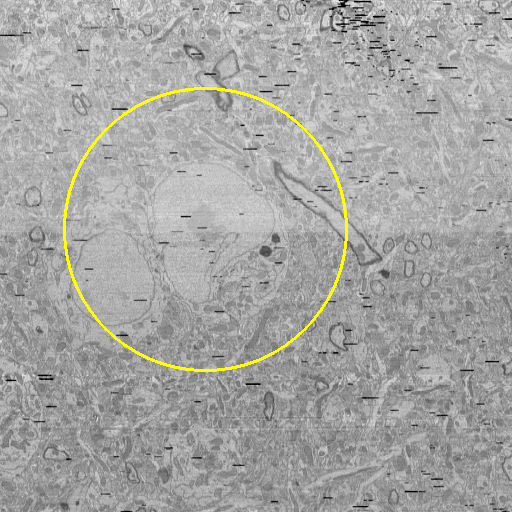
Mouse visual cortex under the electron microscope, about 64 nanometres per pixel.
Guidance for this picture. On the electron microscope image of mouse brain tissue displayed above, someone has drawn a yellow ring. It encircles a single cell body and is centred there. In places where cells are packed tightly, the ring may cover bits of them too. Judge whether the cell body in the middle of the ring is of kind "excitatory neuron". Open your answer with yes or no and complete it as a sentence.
No, another kind matches the cell whose body lies at the ring's centre in the image above.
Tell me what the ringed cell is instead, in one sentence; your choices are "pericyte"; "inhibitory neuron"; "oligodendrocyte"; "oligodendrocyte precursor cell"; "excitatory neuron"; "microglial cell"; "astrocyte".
The cell circled by the yellow ring is an inhibitory neuron.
